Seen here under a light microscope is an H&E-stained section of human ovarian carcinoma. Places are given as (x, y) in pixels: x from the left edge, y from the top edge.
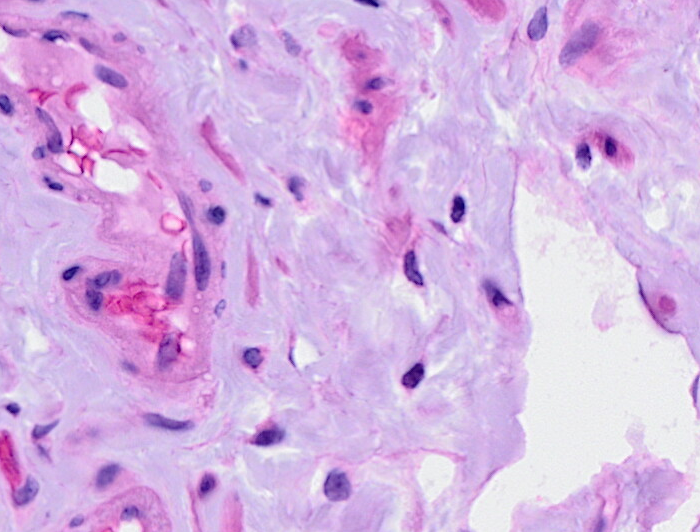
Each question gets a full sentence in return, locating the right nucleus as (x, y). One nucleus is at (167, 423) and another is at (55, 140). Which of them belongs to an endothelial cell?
Out of the two, it is the nucleus at (55, 140) that belongs to an endothelial cell.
